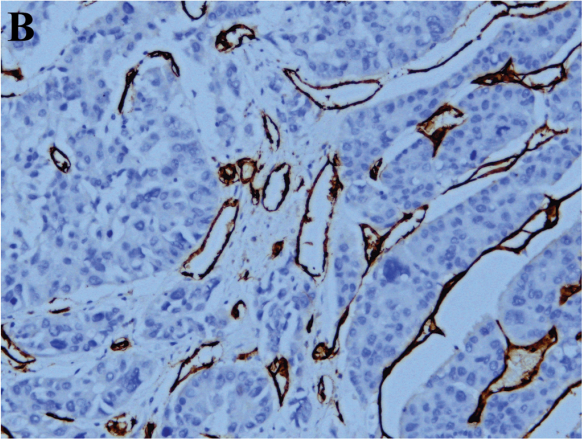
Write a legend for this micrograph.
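Large polygonal tumor cells with round blue nuclei and pale cytoplasm are arranged in thick trabeculae and nests. Between them run numerous open vascular channels, each lined by a thin, continuous brown layer of flattened endothelial cells, so that the lumens appear as sharply outlined, sometimes branching clefts. Some channels are wide and sinusoid-like, others small and round. The tumor cells themselves remain unstained, and there is little intervening stroma between the trabeculae and the lined channels.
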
